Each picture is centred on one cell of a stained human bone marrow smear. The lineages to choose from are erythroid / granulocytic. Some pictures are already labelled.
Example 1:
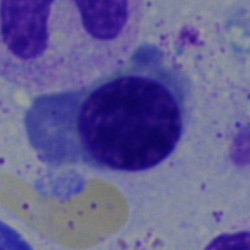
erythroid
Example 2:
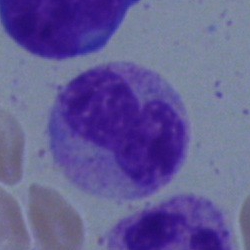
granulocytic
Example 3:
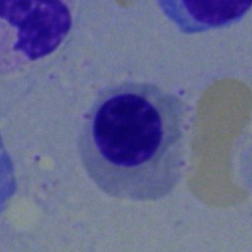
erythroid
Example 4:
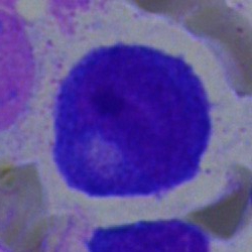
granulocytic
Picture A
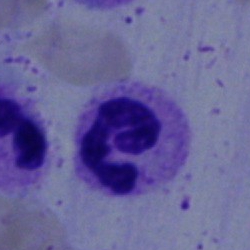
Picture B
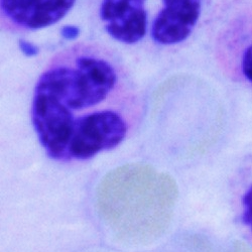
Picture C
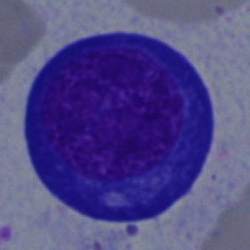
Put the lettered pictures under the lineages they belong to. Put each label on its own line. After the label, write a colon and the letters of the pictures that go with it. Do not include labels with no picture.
erythroid: C
granulocytic: A, B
